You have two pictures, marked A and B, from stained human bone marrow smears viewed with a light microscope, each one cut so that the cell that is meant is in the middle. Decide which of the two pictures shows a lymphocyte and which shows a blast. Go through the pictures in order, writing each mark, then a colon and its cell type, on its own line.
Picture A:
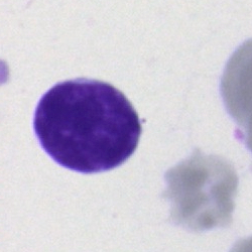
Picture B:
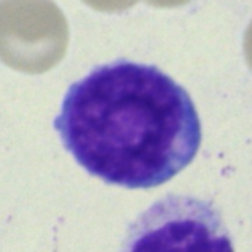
A: lymphocyte
B: blast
